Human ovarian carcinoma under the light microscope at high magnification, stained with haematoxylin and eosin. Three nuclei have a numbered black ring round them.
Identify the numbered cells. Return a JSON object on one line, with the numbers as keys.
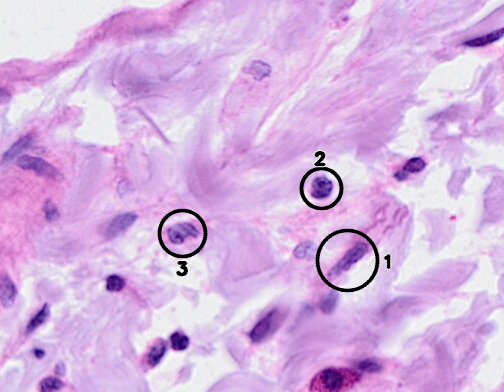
{"1": "endothelial cell", "2": "lymphocyte", "3": "macrophage or monocyte"}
